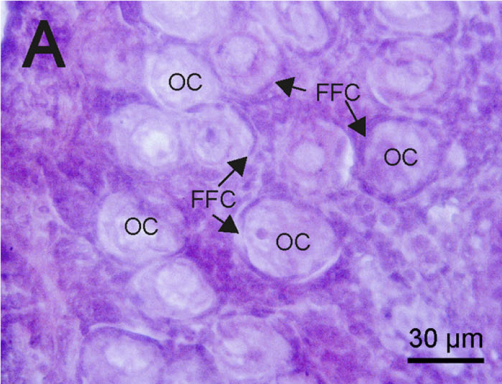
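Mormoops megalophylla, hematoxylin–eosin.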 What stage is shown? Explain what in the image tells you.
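Many round oocytes lie close together in the stroma. Each oocyte is surrounded by a single thin layer of flattened cells. So: primordial follicle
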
